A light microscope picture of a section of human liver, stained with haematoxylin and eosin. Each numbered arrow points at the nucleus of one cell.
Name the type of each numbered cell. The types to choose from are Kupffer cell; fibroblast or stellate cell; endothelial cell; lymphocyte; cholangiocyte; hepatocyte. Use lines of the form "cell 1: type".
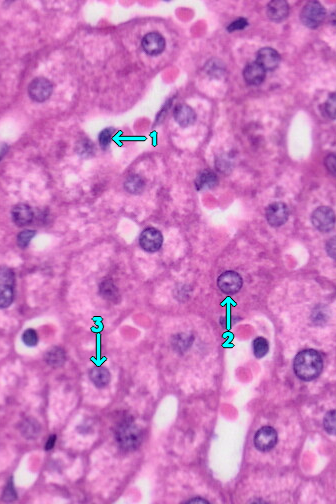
cell 1: lymphocyte
cell 2: hepatocyte
cell 3: hepatocyte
